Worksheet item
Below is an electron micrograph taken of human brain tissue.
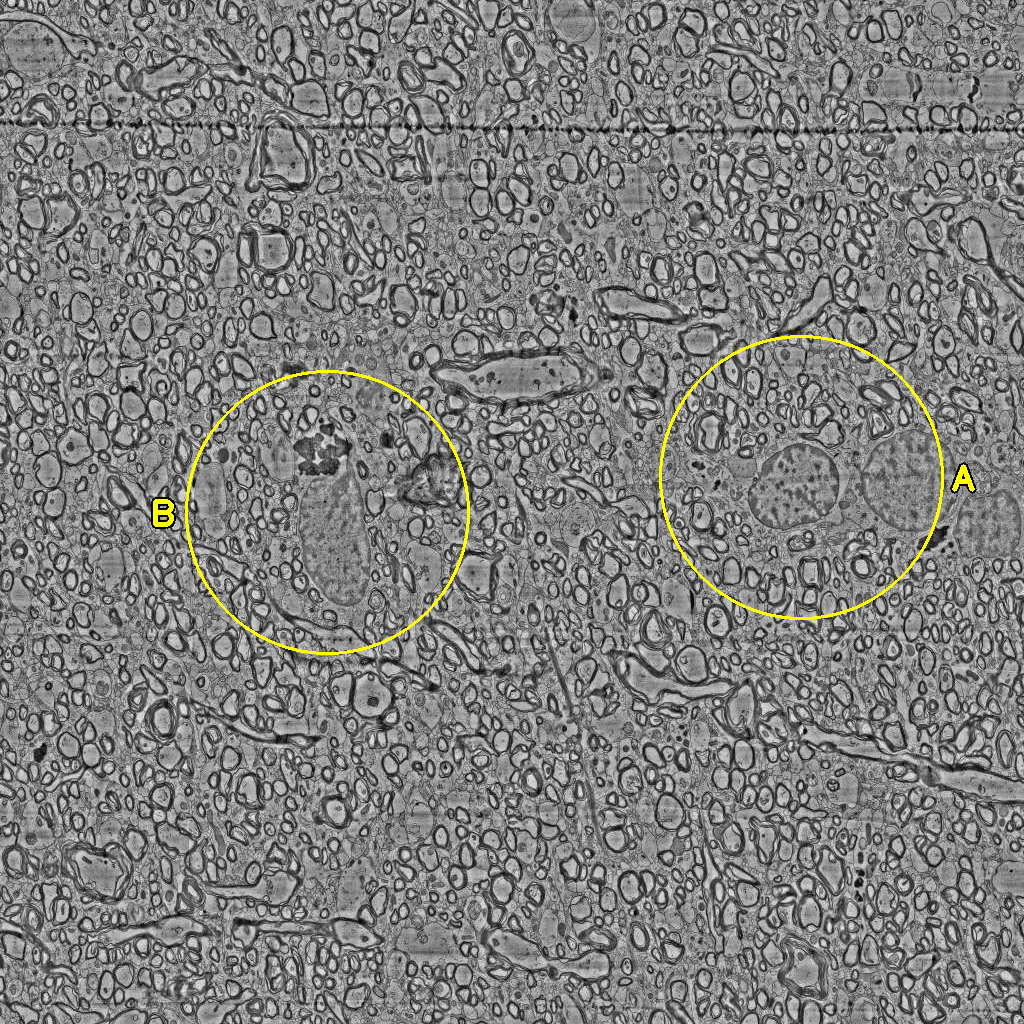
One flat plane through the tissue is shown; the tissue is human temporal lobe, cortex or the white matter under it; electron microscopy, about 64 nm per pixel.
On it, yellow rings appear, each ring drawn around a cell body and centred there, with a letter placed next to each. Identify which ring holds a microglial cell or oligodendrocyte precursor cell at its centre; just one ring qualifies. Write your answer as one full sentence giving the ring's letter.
Ring A has the cell asked for right at its centre in the picture.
